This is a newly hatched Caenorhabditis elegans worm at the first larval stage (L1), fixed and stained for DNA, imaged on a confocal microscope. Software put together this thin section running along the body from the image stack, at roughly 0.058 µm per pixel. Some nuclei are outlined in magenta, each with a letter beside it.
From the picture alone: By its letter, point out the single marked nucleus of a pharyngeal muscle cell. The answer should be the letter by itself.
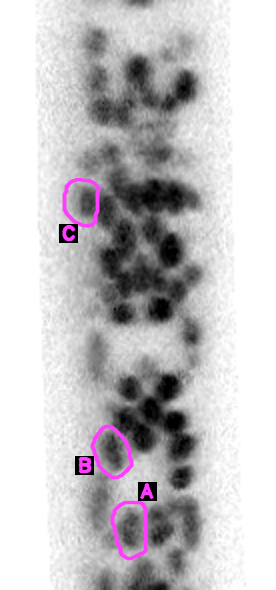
A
